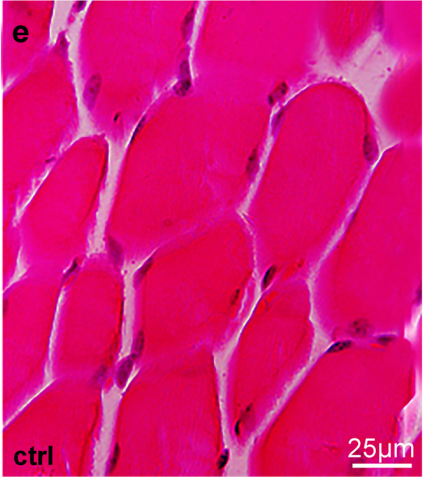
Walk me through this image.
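This is skeletal muscle cut across, showing the myofibers as large, fairly even polygonal profiles with smooth pink cytoplasm. Their nuclei are dark purple, flattened and lie at the edges of the fibers. The fibers are closely packed, with only narrow pale spaces between them.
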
